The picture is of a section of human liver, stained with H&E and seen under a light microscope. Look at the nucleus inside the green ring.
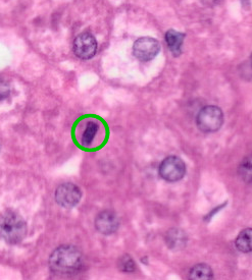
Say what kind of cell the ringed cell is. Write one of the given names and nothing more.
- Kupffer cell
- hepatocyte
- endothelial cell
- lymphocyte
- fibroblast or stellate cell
fibroblast or stellate cell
